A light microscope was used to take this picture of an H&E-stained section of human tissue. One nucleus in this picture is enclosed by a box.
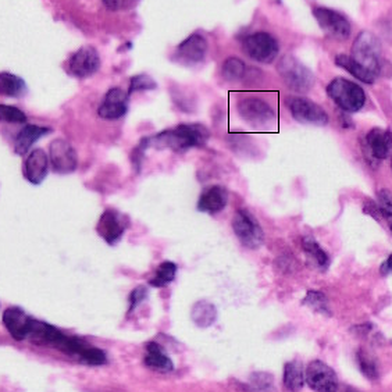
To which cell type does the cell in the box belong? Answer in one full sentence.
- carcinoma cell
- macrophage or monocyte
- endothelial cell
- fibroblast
In this tissue sample, the cell in the box is a carcinoma cell.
